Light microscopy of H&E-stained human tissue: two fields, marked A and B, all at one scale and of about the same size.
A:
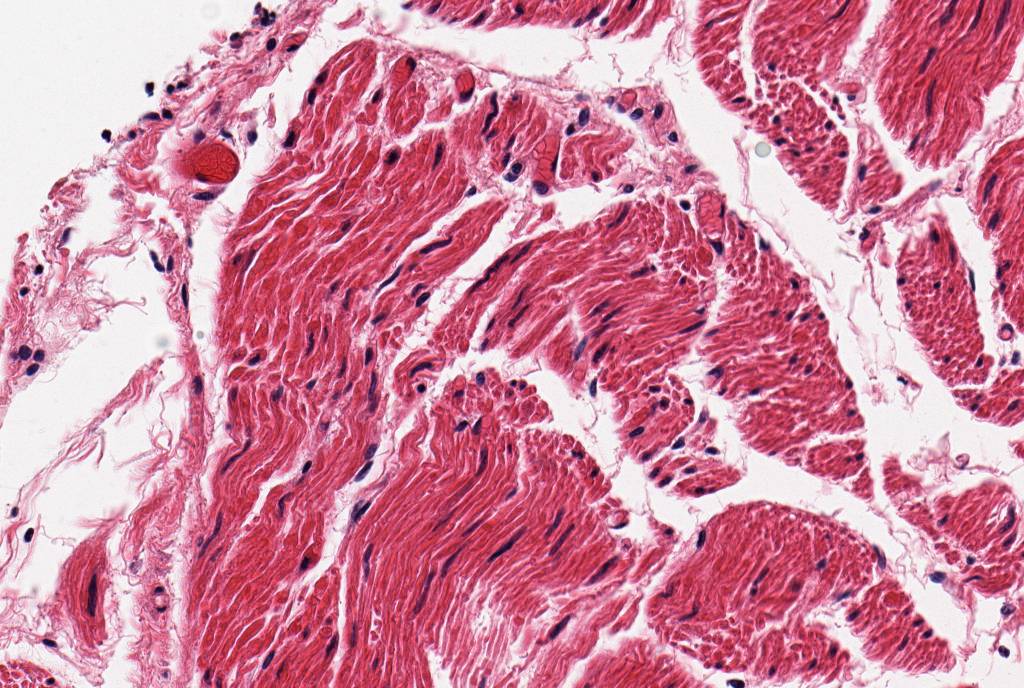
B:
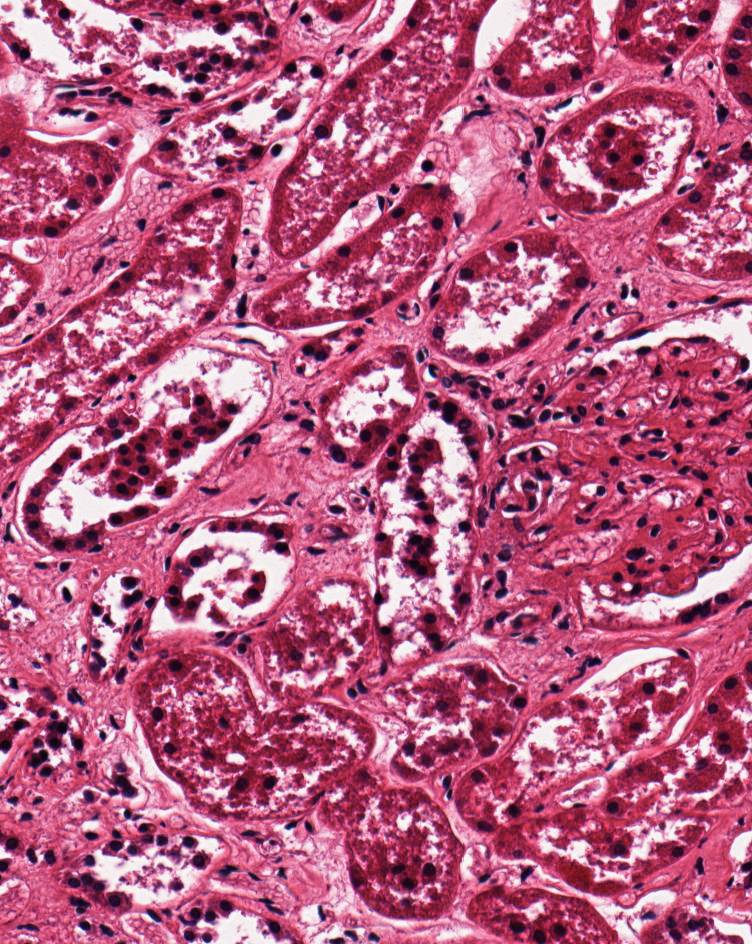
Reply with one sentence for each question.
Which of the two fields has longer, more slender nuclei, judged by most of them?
It is picture A whose nuclei are the more elongated.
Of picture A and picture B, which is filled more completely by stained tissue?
Less of picture B is empty and white.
